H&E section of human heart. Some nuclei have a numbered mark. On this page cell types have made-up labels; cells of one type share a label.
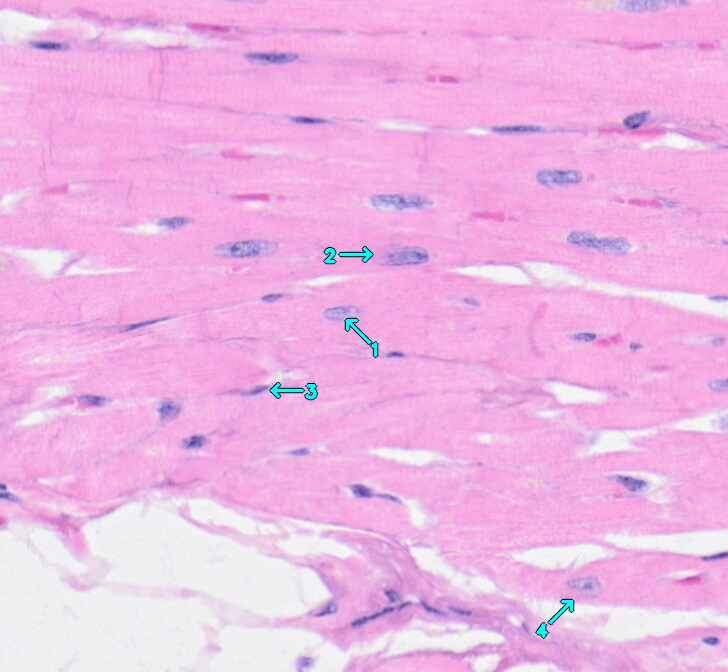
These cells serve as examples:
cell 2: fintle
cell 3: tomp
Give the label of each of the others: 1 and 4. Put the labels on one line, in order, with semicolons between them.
fintle; fintle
